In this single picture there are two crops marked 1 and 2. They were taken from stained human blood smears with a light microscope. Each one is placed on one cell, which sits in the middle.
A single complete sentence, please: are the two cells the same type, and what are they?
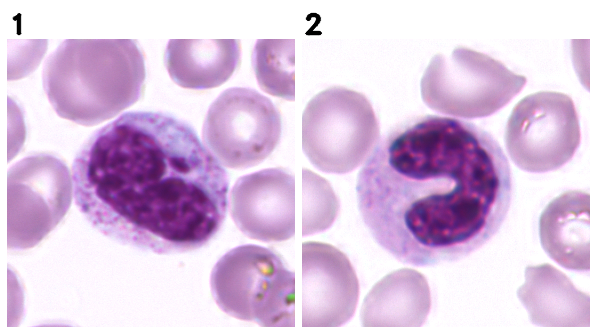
Yes, it is band neutrophils that both crops show.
